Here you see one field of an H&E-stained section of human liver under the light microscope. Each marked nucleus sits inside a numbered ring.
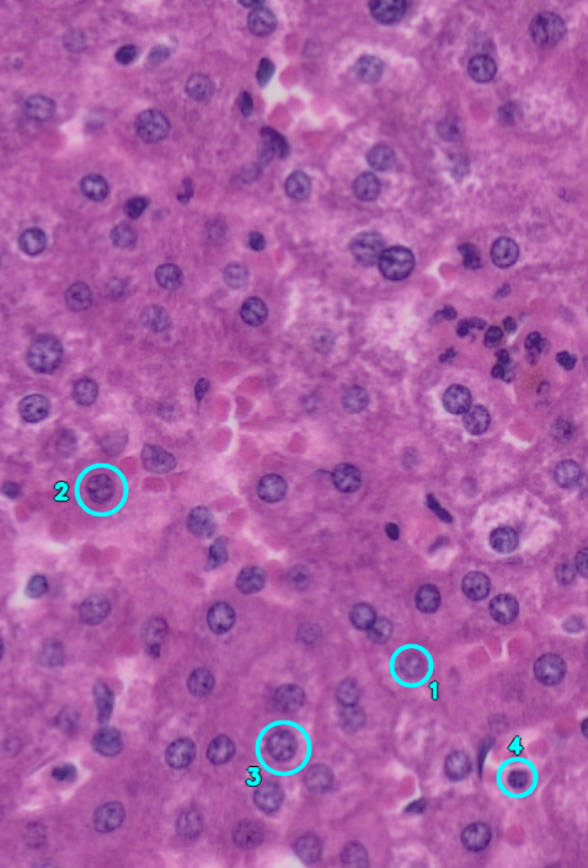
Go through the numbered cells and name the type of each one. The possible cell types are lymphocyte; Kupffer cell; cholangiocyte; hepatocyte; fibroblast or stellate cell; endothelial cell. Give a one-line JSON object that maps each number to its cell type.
{"1": "hepatocyte", "2": "hepatocyte", "3": "hepatocyte", "4": "lymphocyte"}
